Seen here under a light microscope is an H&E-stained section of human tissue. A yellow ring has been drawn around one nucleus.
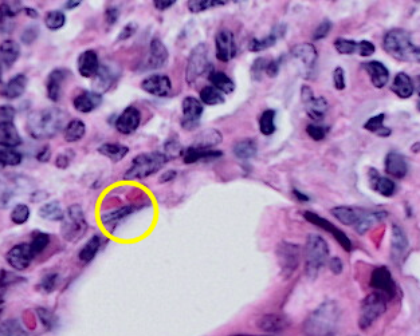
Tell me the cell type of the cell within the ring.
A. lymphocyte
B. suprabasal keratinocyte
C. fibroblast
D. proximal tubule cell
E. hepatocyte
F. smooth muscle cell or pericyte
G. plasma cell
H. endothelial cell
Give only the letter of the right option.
H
